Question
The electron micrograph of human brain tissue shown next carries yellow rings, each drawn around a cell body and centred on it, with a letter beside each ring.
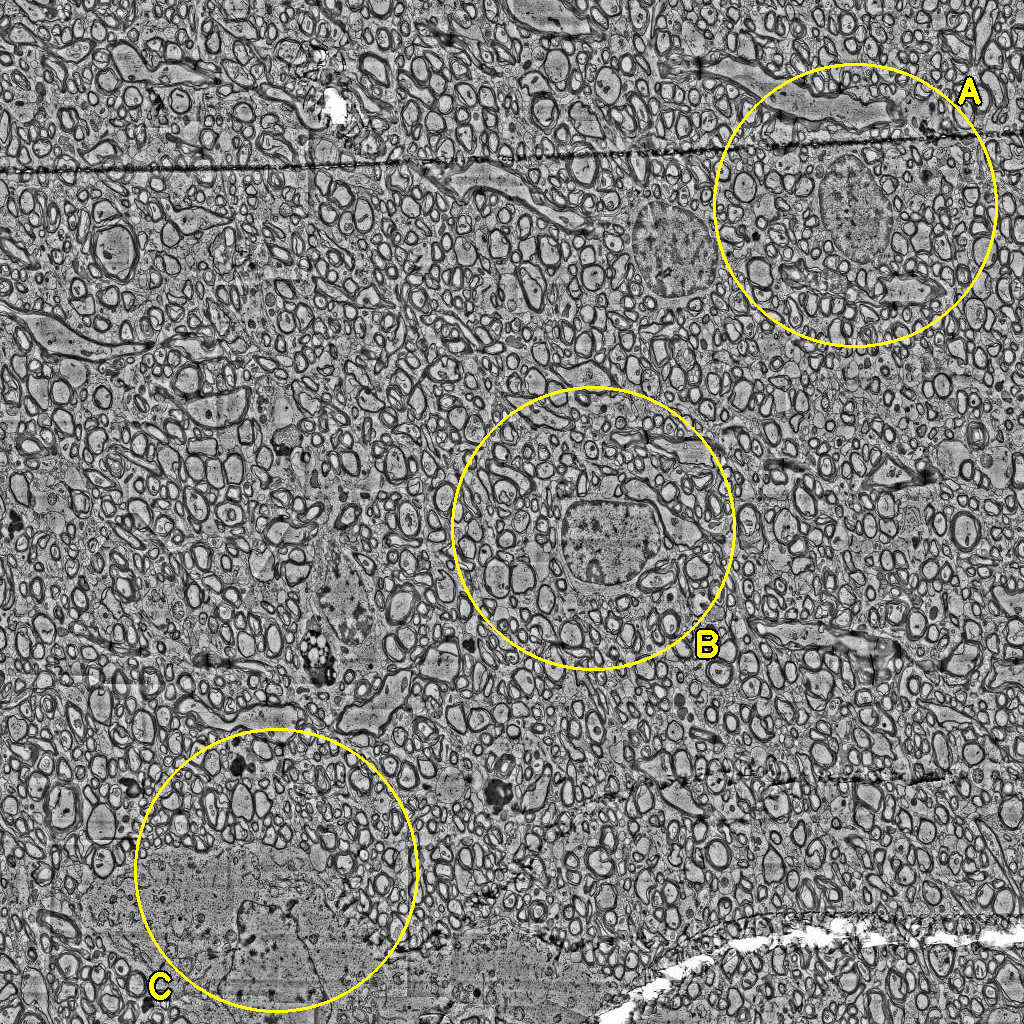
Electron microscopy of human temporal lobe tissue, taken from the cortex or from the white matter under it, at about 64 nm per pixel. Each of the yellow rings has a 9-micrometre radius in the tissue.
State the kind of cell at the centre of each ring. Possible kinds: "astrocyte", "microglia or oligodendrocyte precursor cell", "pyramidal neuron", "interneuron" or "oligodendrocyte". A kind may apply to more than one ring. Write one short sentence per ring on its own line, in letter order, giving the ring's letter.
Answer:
The cell centred in ring A is an oligodendrocyte.
The cell centred in ring B is a microglial cell or oligodendrocyte precursor cell.
The cell centred in ring C is a pyramidal neuron.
